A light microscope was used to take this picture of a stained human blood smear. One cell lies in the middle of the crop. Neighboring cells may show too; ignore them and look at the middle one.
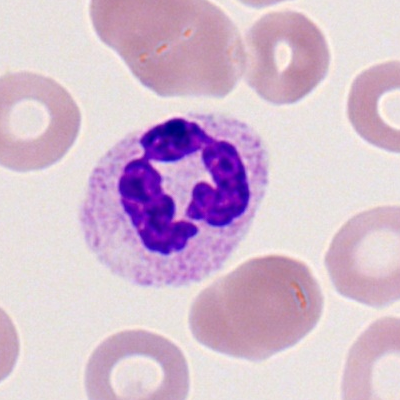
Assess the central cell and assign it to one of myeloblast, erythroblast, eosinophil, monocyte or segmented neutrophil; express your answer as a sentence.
In the crop, the cell of interest at the centre is a segmented neutrophil.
